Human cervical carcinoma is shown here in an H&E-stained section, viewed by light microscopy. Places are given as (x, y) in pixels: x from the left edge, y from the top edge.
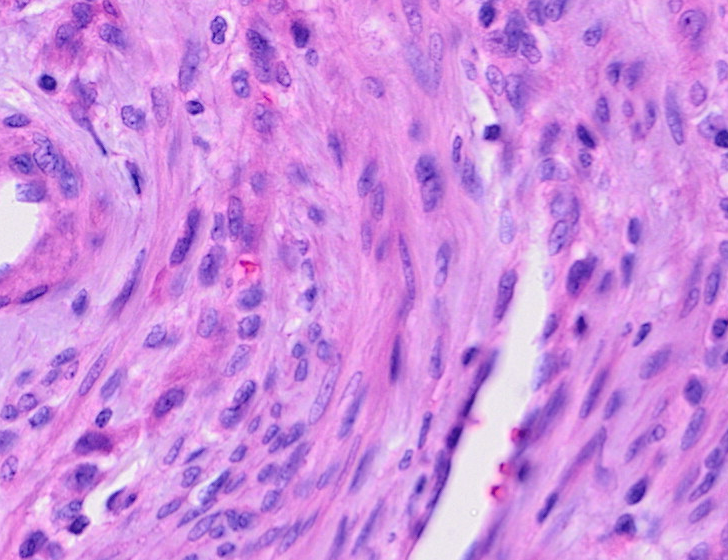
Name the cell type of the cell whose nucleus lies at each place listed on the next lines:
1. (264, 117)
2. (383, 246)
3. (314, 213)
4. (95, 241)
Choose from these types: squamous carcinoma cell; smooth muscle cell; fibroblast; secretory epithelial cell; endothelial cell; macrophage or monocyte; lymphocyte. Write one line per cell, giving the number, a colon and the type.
1: endothelial cell
2: smooth muscle cell
3: smooth muscle cell
4: smooth muscle cell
